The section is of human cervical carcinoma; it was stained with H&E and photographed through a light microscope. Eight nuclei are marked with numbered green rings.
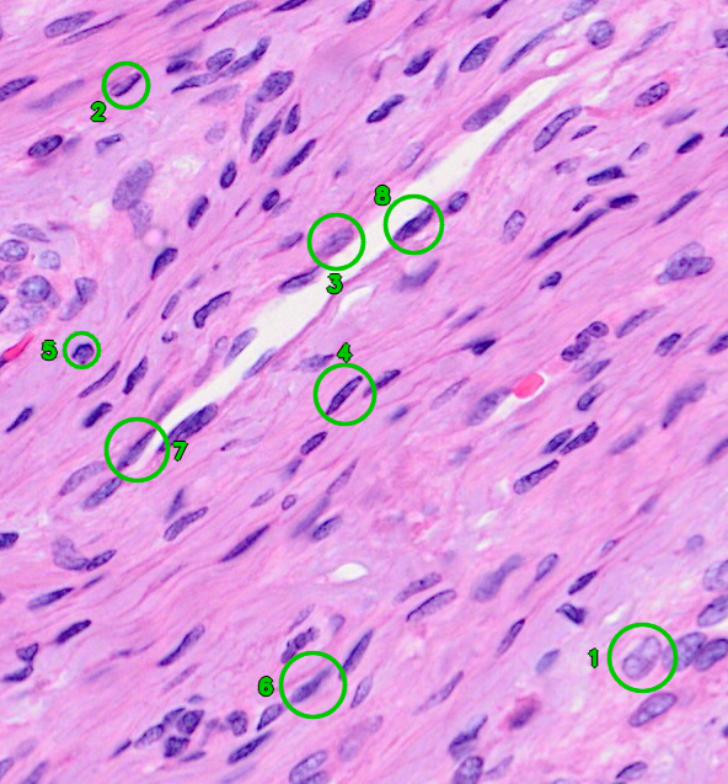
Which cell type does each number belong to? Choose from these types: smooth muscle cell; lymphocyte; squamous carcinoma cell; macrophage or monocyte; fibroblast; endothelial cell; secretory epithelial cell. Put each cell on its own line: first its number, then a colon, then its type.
1: endothelial cell
2: fibroblast
3: endothelial cell
4: fibroblast
5: fibroblast
6: fibroblast
7: endothelial cell
8: endothelial cell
